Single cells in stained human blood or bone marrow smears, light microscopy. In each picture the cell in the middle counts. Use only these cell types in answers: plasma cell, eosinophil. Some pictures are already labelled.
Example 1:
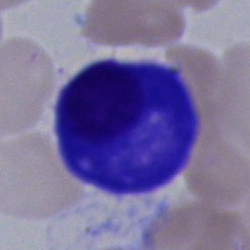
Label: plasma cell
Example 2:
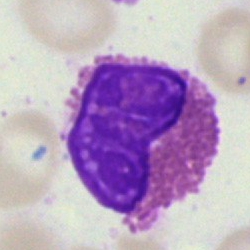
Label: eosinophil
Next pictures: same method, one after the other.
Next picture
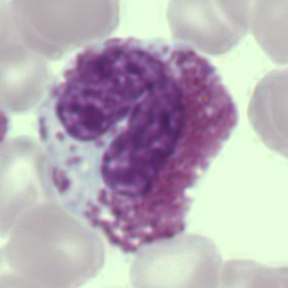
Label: eosinophil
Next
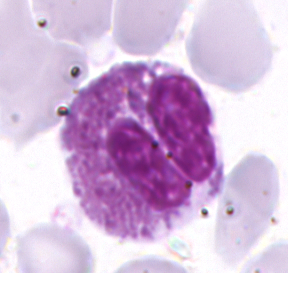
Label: eosinophil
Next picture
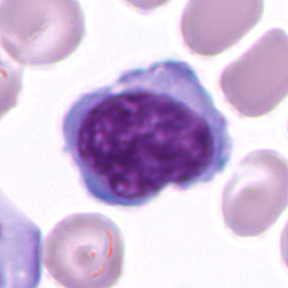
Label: plasma cell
